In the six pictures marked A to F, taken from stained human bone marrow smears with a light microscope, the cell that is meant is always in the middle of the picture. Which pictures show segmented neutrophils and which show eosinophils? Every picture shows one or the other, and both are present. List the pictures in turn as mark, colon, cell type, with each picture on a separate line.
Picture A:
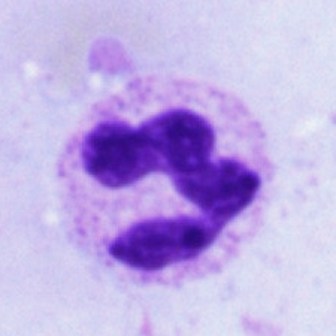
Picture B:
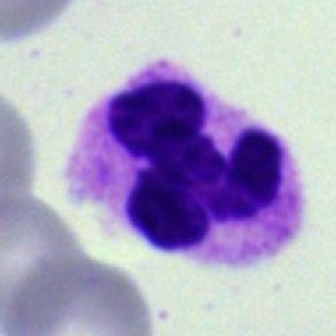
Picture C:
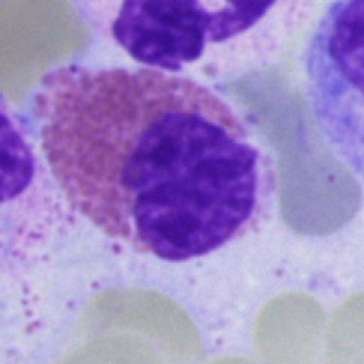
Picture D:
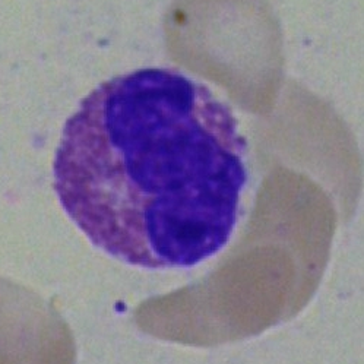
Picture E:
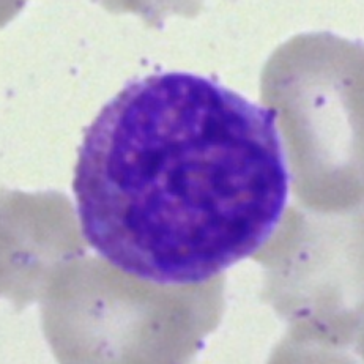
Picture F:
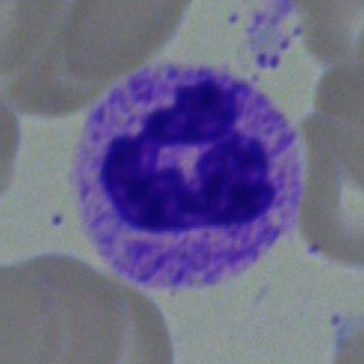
A: segmented neutrophil
B: segmented neutrophil
C: eosinophil
D: eosinophil
E: eosinophil
F: segmented neutrophil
